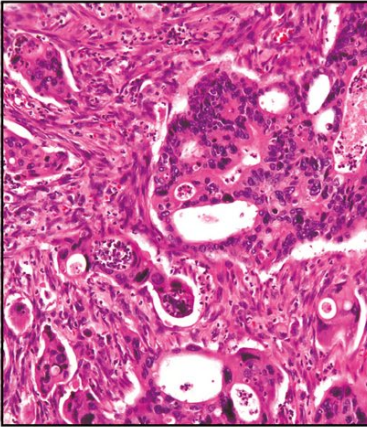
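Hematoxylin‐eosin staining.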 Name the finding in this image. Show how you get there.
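Irregular gland formation. Glands of varied size and angular, branching outlines lie in the stroma. Some glands have complex lumens with material and debris inside.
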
